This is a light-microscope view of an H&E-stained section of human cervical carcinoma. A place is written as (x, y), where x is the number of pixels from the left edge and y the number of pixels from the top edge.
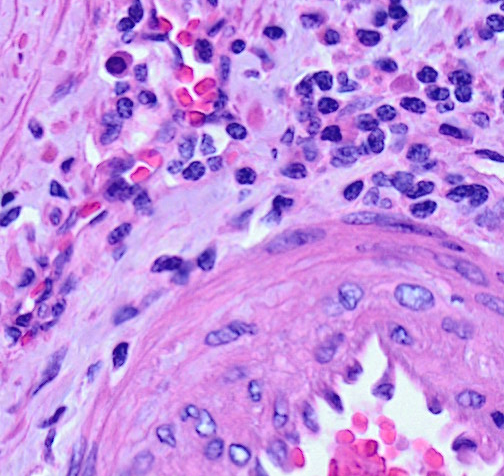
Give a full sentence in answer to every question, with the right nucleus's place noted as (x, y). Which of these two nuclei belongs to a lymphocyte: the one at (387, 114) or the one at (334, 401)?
The nucleus at (387, 114) is housed in a lymphocyte.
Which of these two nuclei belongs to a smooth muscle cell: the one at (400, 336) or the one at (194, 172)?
The nucleus that belongs to a smooth muscle cell sits at (400, 336).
